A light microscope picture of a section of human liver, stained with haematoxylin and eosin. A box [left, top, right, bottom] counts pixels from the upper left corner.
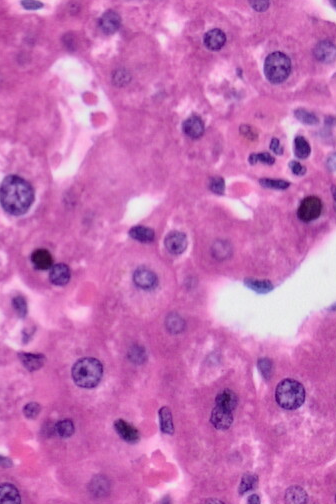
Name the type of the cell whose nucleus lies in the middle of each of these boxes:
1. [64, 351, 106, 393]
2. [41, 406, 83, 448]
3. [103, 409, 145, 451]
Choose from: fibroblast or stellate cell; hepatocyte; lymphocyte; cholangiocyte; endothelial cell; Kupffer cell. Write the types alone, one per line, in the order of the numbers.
hepatocyte
hepatocyte
fibroblast or stellate cell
